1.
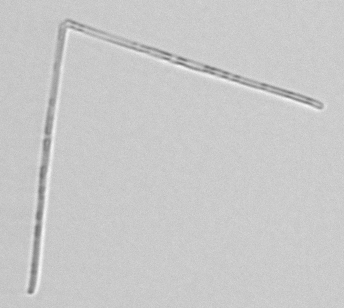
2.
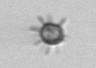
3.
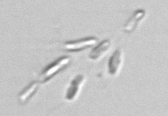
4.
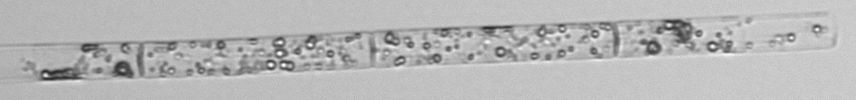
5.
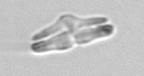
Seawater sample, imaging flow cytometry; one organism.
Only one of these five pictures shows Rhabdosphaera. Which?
Picture 2.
